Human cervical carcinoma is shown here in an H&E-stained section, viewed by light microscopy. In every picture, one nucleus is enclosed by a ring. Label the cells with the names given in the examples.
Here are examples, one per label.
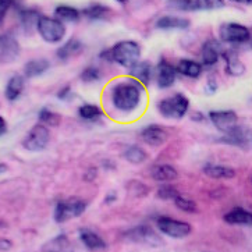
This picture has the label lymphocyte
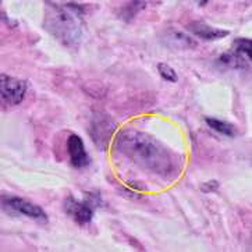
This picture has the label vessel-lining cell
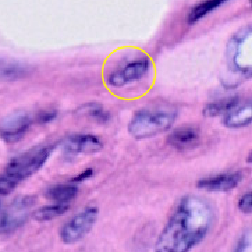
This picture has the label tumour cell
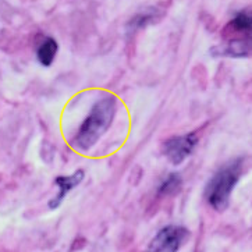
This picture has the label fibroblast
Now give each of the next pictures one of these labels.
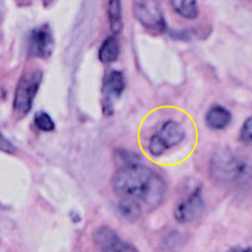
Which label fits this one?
vessel-lining cell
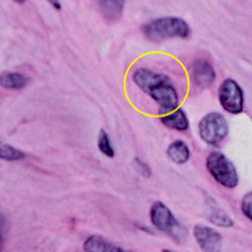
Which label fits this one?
vessel-lining cell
